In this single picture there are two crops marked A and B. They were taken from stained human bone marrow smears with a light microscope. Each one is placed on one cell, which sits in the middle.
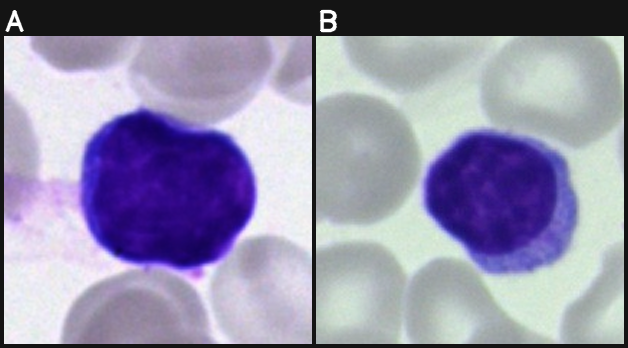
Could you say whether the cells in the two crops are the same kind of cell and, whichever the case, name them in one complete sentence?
Yes, the reply for both crops is lymphocytes.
